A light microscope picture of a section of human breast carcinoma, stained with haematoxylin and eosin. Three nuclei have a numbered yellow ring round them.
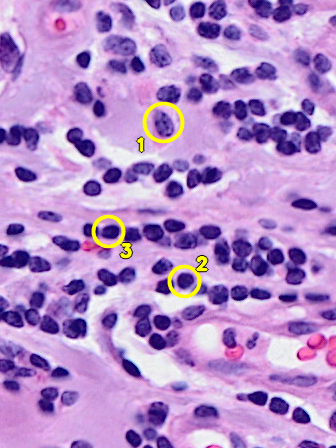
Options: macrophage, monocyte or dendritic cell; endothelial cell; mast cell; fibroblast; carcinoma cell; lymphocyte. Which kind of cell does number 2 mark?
lymphocyte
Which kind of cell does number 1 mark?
mast cell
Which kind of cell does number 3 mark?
lymphocyte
